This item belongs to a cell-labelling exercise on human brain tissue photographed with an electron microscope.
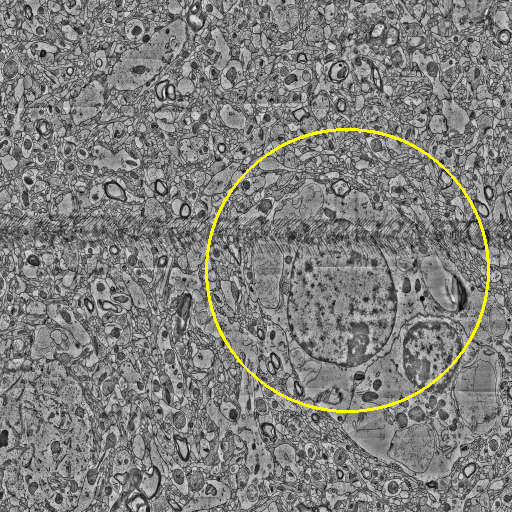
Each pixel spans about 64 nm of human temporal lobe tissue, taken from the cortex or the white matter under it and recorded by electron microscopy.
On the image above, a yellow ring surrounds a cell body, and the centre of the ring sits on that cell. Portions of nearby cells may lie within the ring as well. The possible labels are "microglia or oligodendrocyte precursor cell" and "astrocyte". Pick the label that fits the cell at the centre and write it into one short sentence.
This cell should be labelled as an astrocyte.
